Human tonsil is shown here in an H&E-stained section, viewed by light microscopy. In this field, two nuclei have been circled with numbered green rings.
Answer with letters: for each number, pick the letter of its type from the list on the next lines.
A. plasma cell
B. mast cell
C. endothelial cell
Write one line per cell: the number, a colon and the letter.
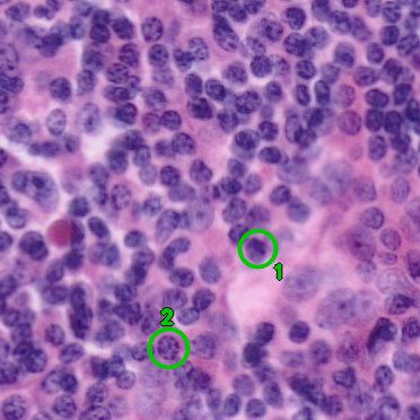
1: C
2: A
